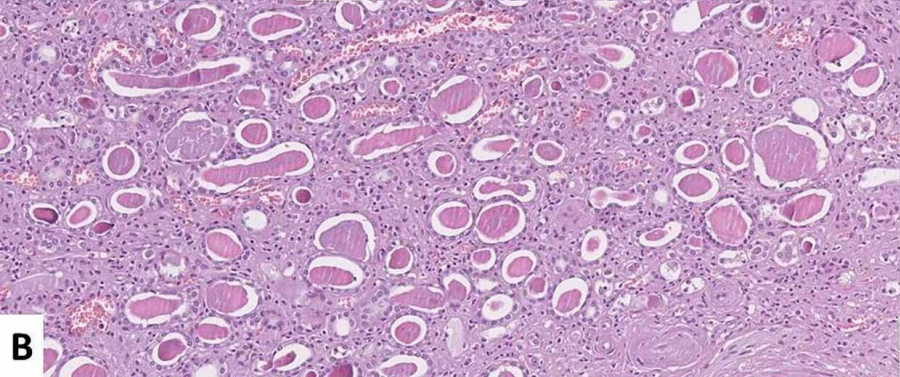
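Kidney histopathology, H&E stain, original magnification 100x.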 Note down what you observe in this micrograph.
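Renal tissue with thyroidization: numerous round and elongated tubules are dilated and filled with homogeneous pink casts that resemble thyroid colloid. The lining epithelium of these tubules is flattened and thin, and the casts often show retraction clefts. Congested capillaries with red blood cells run between the tubules.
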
